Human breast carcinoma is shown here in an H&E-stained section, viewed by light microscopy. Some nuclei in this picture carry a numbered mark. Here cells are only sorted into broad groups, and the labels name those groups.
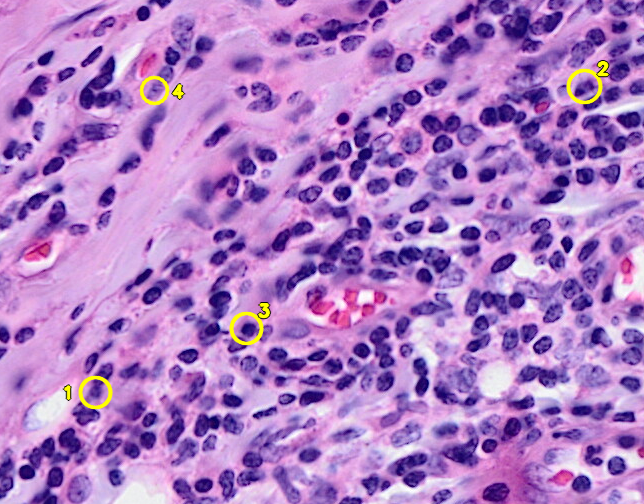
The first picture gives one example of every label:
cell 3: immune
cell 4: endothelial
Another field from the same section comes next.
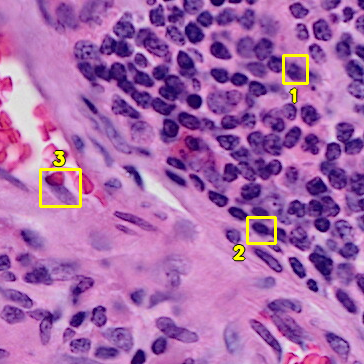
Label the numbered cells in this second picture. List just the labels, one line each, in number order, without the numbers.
immune
immune
endothelial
